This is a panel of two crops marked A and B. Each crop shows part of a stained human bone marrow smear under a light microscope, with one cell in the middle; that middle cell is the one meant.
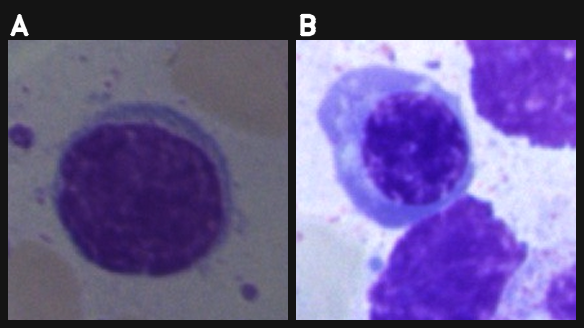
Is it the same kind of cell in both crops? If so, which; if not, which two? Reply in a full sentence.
No, record crop A as a lymphocyte and crop B as an erythroblast.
